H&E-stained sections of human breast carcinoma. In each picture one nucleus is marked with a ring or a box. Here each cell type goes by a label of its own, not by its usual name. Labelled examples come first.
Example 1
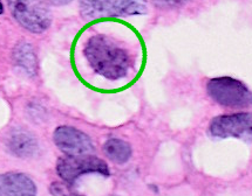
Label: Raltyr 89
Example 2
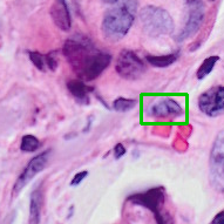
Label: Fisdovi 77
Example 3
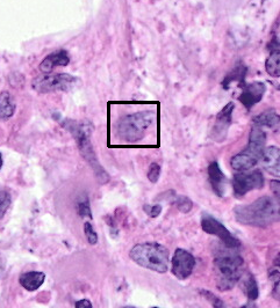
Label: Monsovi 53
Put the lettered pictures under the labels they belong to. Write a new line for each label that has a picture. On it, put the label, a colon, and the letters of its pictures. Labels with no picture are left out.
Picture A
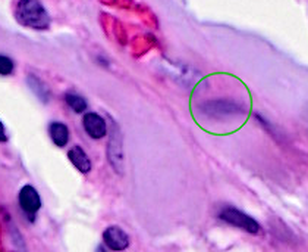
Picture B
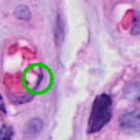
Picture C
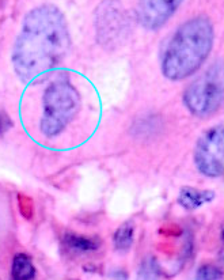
Raltyr 89: C
Fisdovi 77: A, B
